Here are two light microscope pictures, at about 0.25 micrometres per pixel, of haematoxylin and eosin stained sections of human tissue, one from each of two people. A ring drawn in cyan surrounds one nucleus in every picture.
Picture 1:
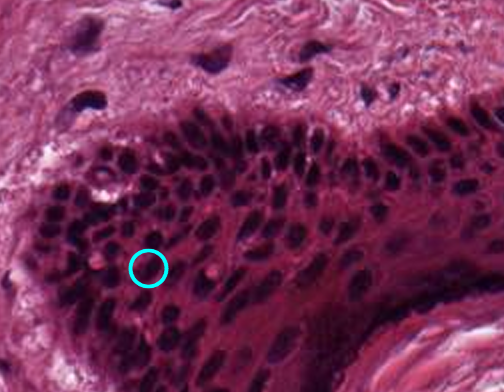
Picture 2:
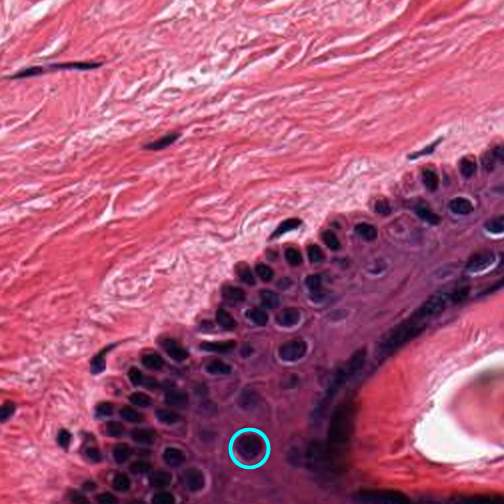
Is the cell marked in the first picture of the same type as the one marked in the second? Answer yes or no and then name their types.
Yes, both are keratinocytes.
